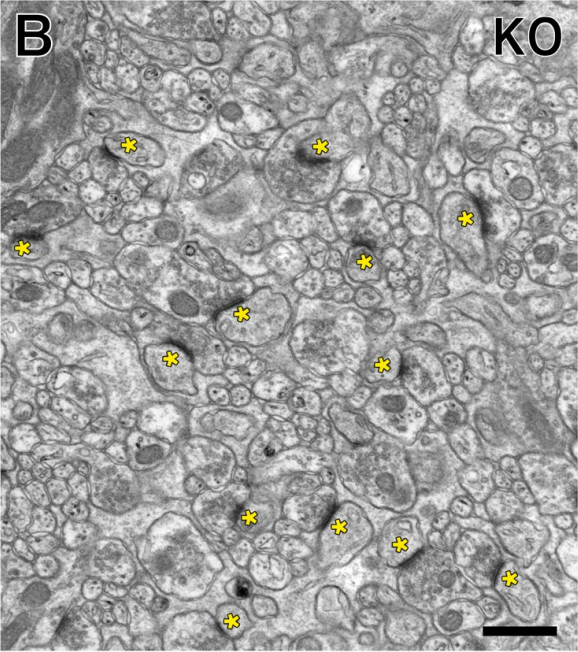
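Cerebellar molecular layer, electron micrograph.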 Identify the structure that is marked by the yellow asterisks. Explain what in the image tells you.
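Asymmetric synapses. Each asterisk lies on a rounded profile with a thick dark density along one membrane. The dark density faces a neighbouring profile that contains vesicles.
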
